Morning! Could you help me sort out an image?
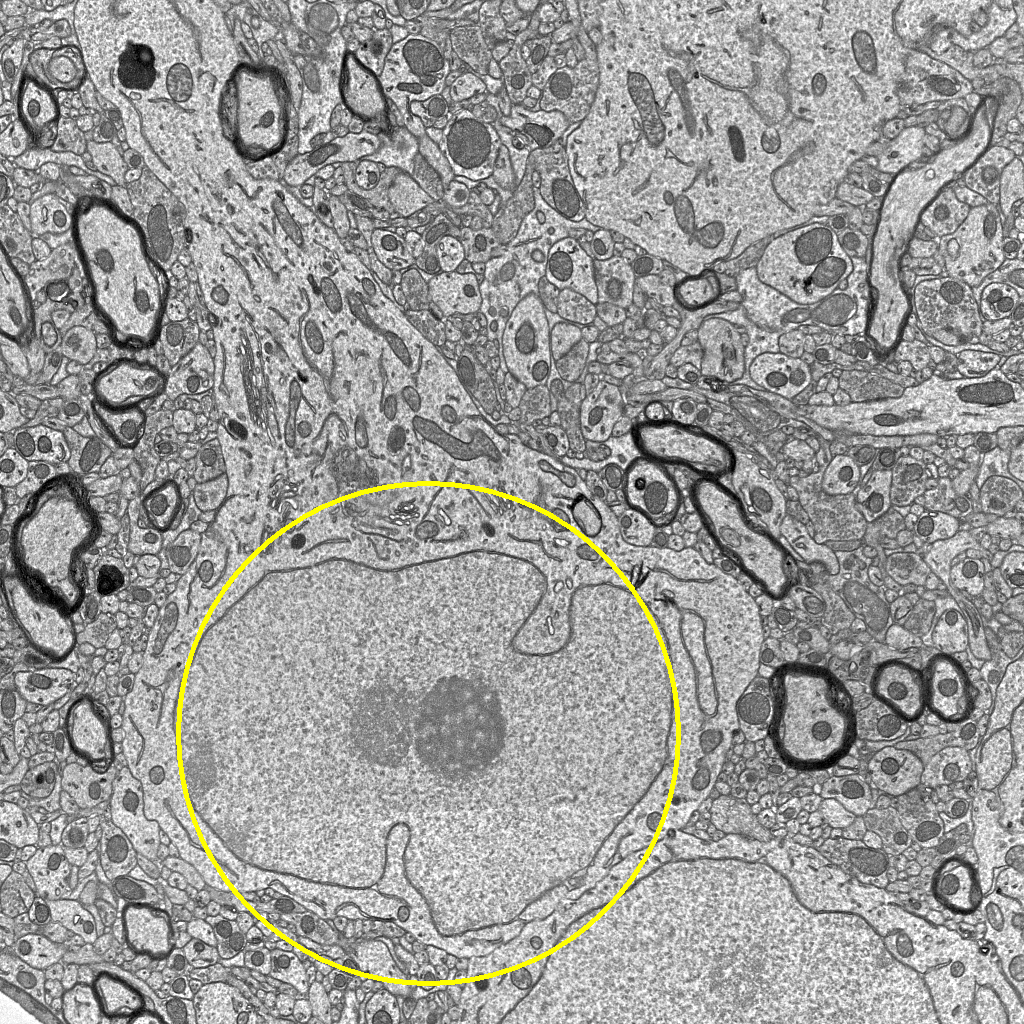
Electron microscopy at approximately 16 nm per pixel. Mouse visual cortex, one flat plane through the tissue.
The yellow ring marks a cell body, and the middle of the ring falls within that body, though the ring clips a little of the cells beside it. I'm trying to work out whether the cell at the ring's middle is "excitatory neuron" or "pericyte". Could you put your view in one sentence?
The cell body at the ring's middle is that of an excitatory neuron.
